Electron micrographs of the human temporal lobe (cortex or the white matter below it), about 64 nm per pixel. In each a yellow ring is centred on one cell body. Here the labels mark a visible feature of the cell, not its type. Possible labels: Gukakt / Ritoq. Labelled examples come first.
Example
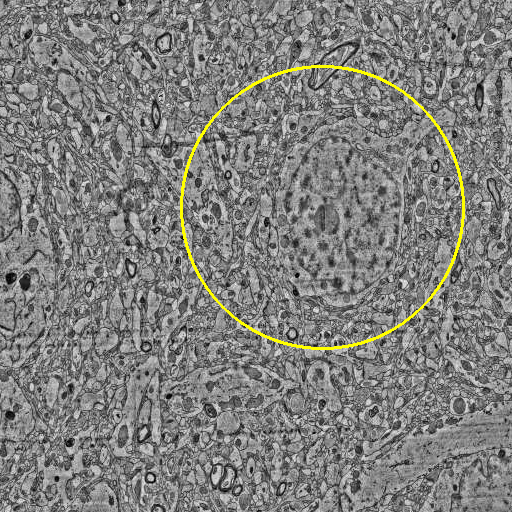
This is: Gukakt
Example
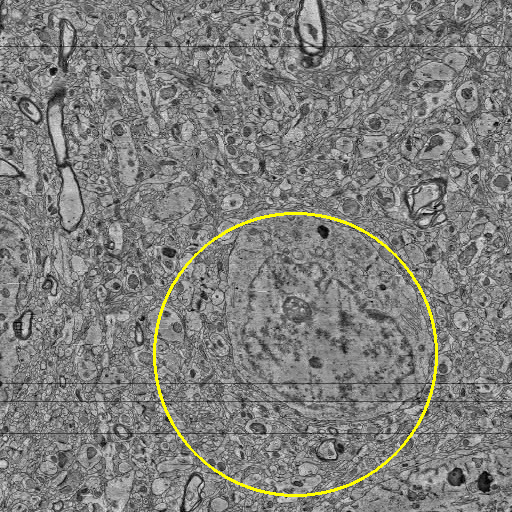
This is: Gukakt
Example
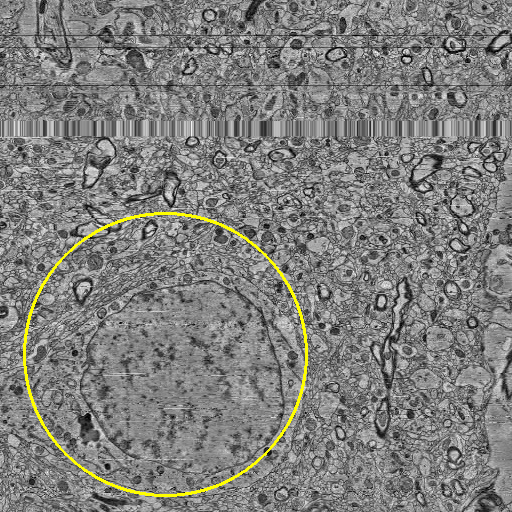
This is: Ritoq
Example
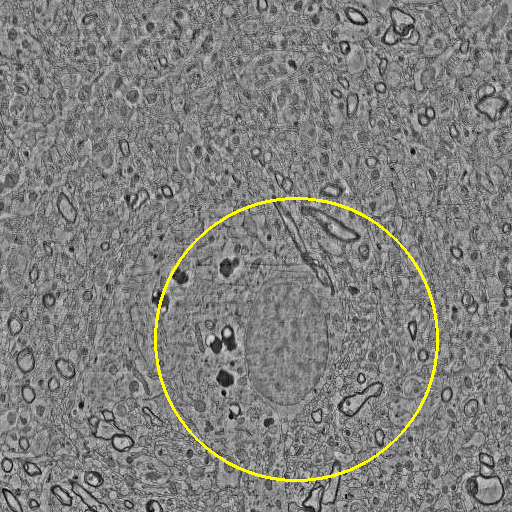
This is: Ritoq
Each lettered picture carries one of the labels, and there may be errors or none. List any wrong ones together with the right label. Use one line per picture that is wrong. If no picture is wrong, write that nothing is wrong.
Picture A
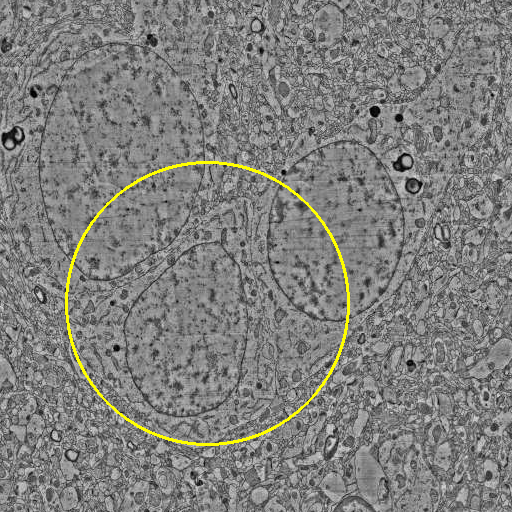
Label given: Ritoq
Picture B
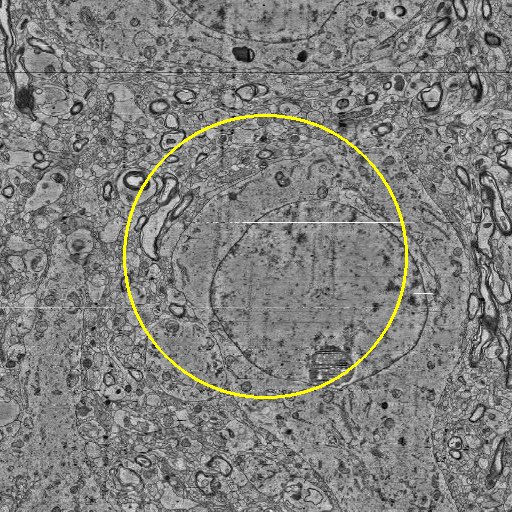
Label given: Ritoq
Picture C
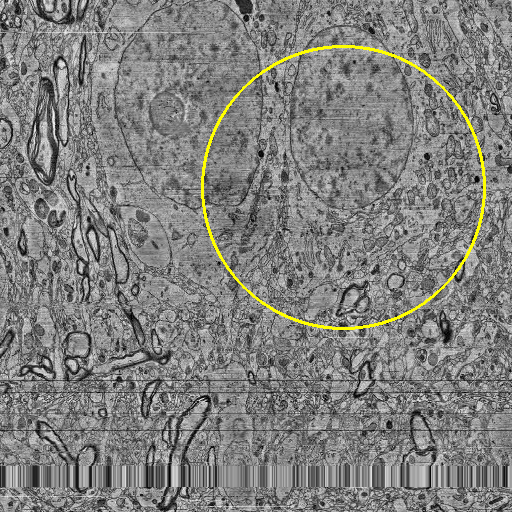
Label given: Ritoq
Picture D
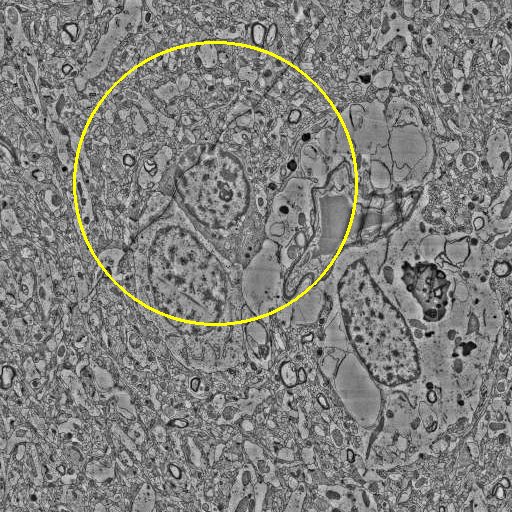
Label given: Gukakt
Nothing to fix; every label fits.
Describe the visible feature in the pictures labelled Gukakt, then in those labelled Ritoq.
Gukakt: nucleolus seen; Ritoq: no nucleolus seen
